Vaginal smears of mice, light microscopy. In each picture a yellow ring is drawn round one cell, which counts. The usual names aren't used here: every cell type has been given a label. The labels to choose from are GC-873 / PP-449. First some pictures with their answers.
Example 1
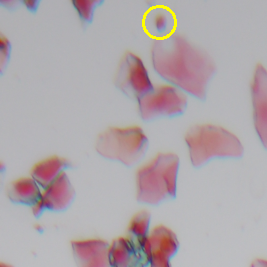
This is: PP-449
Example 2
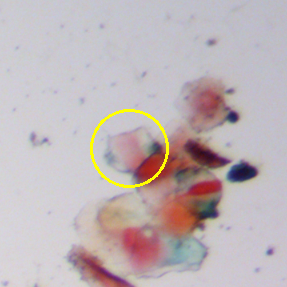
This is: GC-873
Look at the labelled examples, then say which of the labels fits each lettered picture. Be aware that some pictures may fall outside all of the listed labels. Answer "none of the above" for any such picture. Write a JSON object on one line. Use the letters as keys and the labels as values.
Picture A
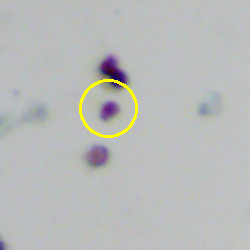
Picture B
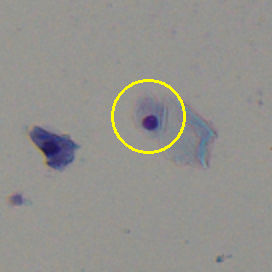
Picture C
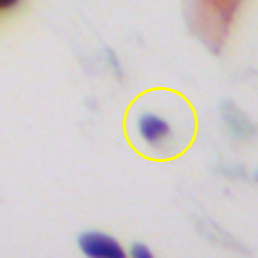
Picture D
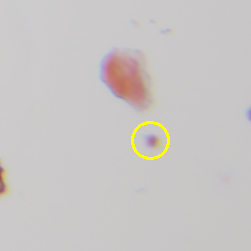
{"A": "PP-449", "B": "none of the above", "C": "PP-449", "D": "PP-449"}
